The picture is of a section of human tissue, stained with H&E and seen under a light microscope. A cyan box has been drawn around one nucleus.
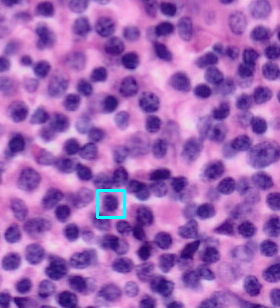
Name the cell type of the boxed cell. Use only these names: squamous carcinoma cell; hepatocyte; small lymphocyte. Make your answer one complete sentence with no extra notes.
Speaking plainly, the boxed cell is nothing other than a small lymphocyte.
